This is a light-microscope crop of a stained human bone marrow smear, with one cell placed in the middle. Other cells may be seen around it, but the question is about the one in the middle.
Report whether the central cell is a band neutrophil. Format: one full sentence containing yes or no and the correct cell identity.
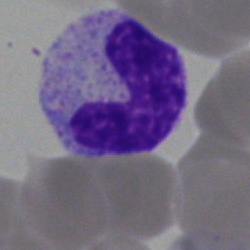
Yes, that is right: the middle cell is a band neutrophil.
